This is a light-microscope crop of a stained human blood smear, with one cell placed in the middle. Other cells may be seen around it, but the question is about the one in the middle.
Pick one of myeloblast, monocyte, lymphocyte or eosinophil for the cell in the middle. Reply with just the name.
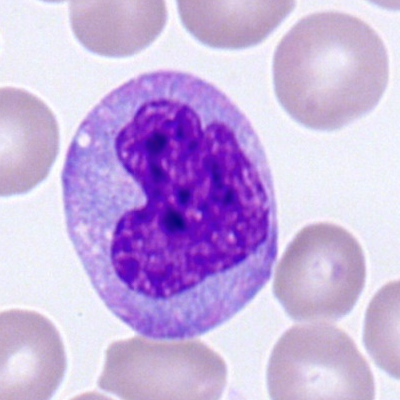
monocyte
